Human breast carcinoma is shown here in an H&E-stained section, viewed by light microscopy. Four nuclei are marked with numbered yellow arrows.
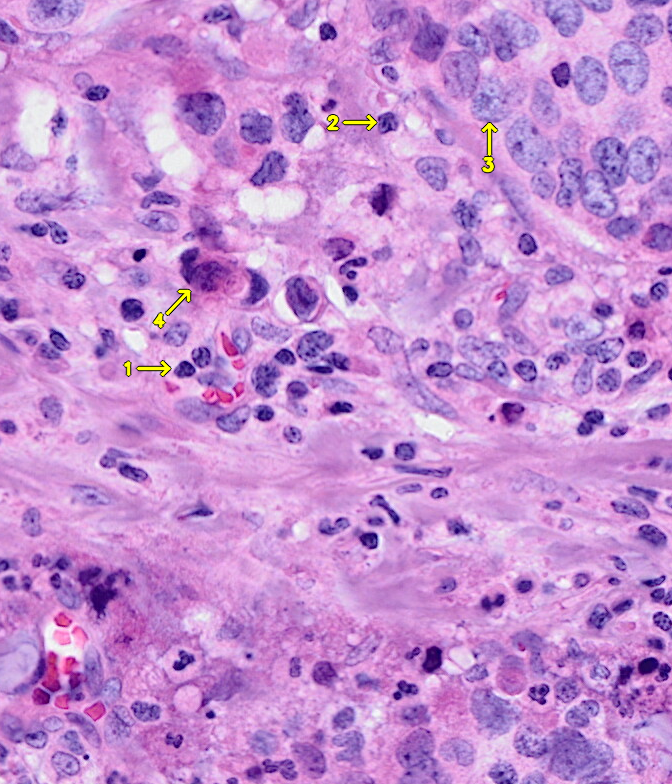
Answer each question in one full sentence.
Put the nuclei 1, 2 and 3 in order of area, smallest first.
The order from the smallest nucleus to the largest is 1, 2, 3.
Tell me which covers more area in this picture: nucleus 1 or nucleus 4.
Nucleus 4 is the larger one, covering about 3 times the area of nucleus 1.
